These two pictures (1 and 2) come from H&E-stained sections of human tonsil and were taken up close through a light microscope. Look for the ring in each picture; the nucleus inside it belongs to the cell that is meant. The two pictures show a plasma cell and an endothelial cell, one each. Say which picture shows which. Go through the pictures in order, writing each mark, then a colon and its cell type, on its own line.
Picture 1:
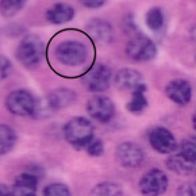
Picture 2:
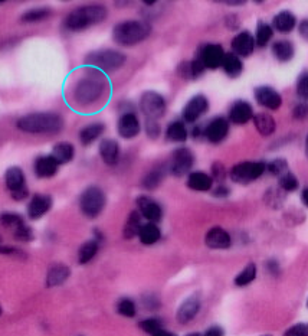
1: plasma cell
2: endothelial cell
